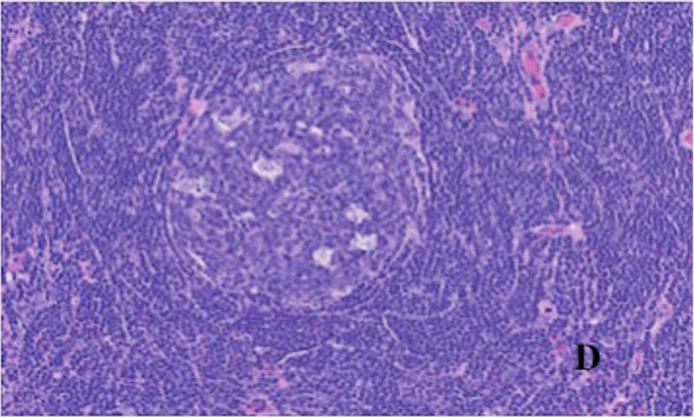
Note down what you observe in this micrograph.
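Germinal center with tingible body macrophages in a lymphoid follicle. Within the rounded paler centre, several larger cells with clear, pale cytoplasm are scattered among densely packed lymphoid cells, giving a starry appearance. The centre is bordered by a thick band of small dark lymphocytes. Small vessels with pink-red contents lie in the surrounding tissue.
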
